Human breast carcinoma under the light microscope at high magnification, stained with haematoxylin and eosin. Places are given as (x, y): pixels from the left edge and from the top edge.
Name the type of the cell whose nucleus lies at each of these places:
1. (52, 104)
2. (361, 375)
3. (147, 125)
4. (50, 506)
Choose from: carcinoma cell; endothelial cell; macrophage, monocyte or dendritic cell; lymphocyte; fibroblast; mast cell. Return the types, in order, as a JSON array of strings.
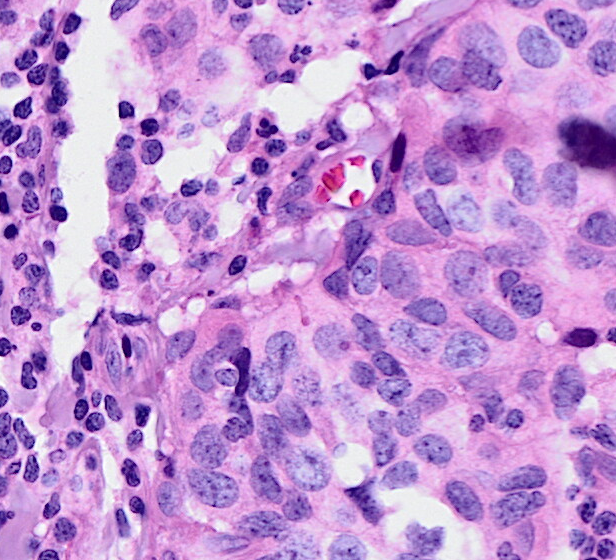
["lymphocyte", "carcinoma cell", "lymphocyte", "lymphocyte"]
